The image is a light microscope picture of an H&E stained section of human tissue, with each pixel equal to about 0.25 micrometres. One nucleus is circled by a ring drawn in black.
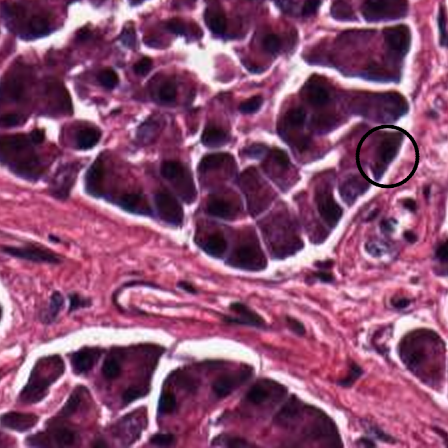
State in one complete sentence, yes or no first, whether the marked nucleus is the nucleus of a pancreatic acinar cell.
Yes, the marked nucleus is the nucleus of a pancreatic acinar cell in this section.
